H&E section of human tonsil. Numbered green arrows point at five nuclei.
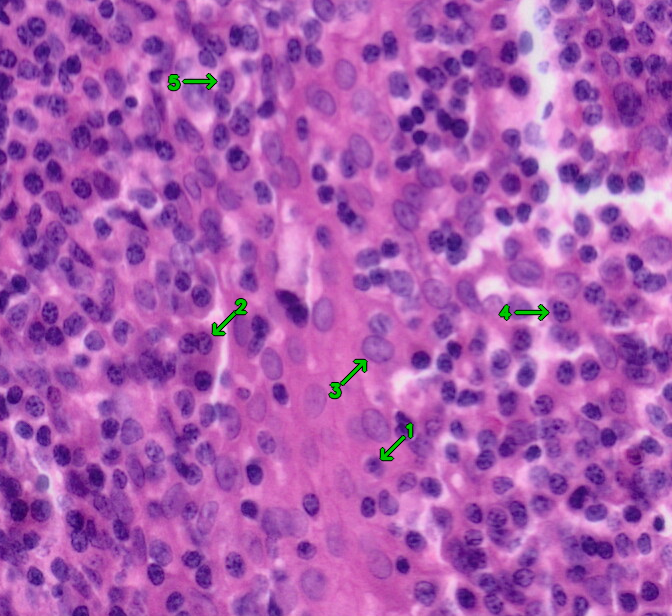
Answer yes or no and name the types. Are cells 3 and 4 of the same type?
No, a squamous epithelial cell is what cell 3 is, and a plasma cell is what cell 4 is.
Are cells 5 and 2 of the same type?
Yes, of the numbered cells, 5 and 2 are both plasma cells.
